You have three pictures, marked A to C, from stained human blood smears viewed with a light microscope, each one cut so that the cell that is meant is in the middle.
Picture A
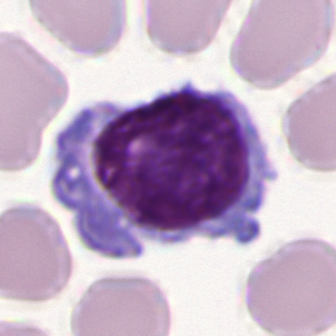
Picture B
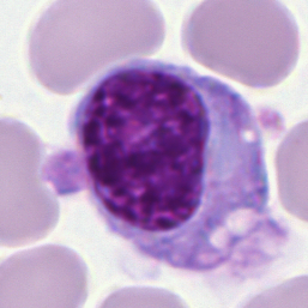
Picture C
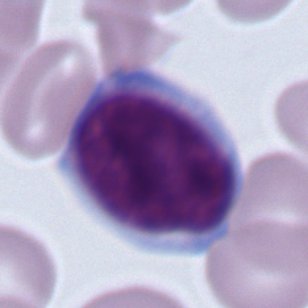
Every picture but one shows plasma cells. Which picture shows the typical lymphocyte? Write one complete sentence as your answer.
The picture with the typical lymphocyte is C.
